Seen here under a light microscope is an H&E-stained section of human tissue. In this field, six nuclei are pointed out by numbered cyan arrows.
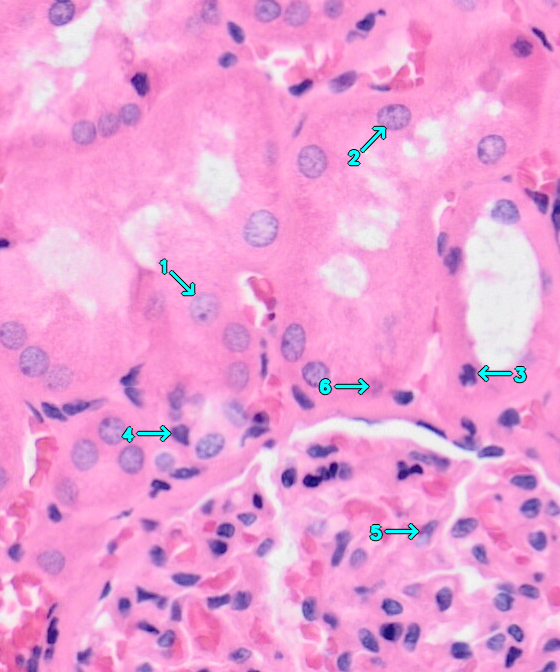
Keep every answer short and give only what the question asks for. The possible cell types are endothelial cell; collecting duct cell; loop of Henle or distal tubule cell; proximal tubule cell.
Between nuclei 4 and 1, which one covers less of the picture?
4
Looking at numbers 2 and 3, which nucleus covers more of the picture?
2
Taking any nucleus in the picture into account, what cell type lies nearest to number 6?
endothelial cell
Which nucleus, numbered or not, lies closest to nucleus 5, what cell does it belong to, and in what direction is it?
an endothelial cell; to the right of nucleus 5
